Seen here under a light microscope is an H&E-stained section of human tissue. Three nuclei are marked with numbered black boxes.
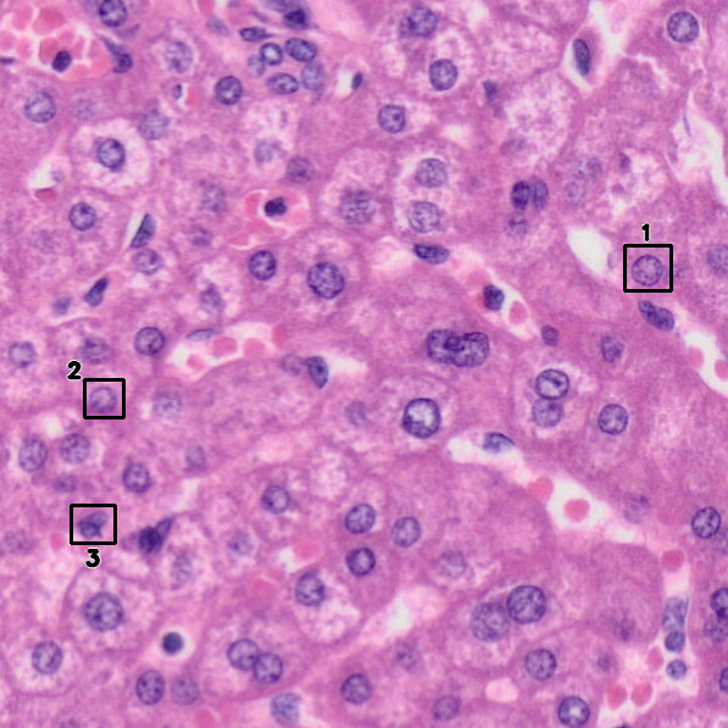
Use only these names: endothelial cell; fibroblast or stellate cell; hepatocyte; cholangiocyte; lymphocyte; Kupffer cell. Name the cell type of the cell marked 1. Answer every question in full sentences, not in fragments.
The cell indicated by marker 1 is a hepatocyte in this section.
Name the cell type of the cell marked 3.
The numeral 3 marks an endothelial cell in this section.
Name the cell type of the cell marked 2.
Identified as a hepatocyte is the cell bearing the number 2.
